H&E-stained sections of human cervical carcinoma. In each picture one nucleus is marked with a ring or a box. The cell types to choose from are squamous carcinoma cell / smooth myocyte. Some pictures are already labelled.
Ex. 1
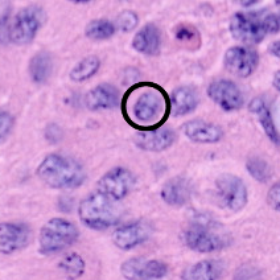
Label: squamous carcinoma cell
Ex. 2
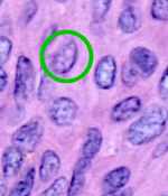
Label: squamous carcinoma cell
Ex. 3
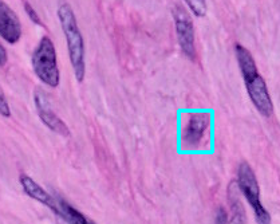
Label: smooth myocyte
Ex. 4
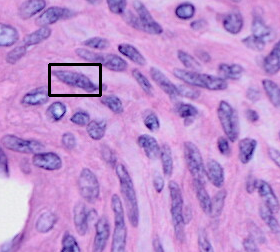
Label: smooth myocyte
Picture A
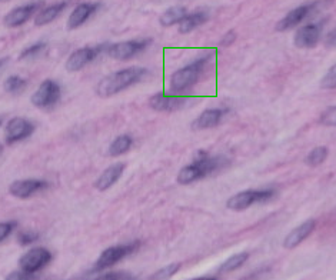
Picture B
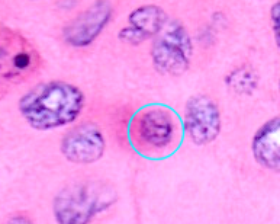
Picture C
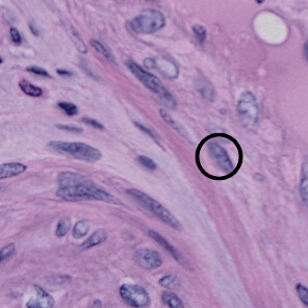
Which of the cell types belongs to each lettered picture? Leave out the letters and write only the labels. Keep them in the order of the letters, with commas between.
smooth myocyte, squamous carcinoma cell, smooth myocyte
